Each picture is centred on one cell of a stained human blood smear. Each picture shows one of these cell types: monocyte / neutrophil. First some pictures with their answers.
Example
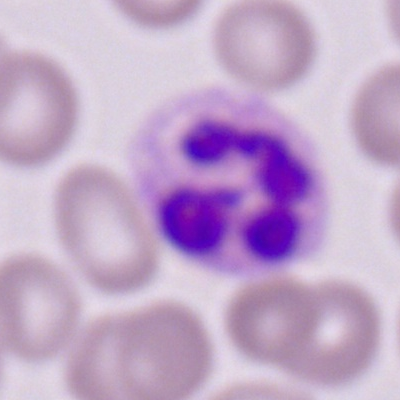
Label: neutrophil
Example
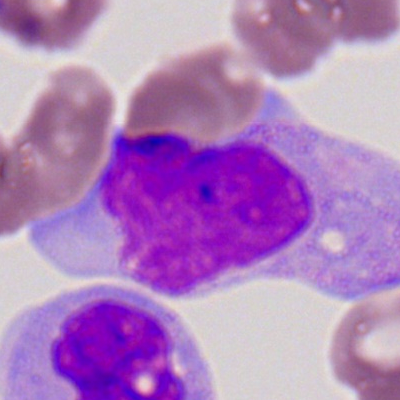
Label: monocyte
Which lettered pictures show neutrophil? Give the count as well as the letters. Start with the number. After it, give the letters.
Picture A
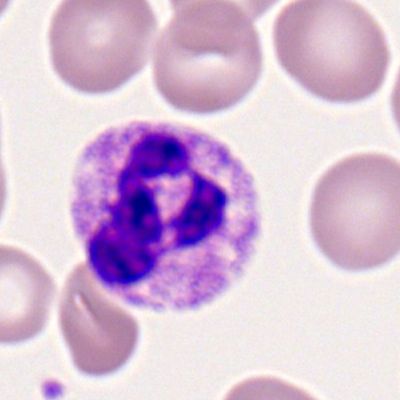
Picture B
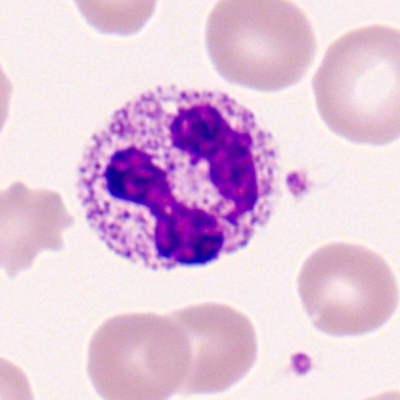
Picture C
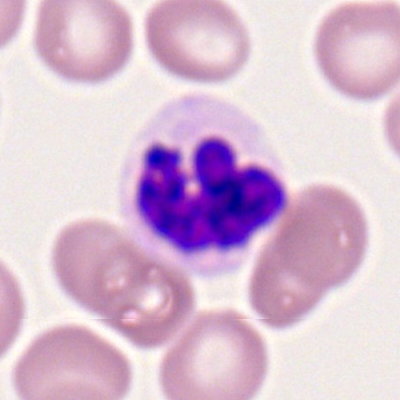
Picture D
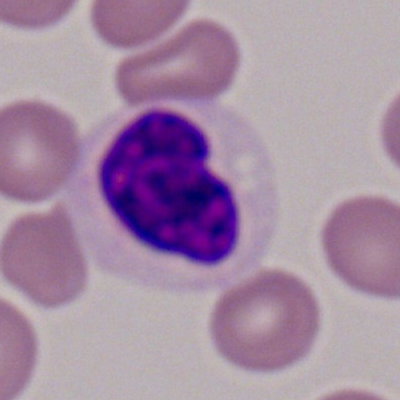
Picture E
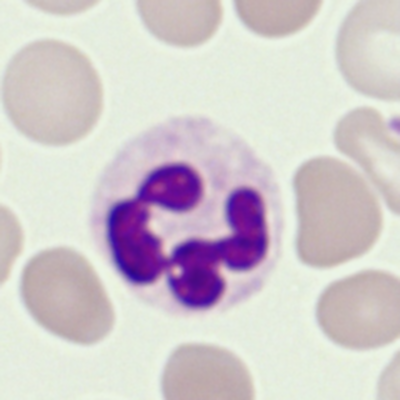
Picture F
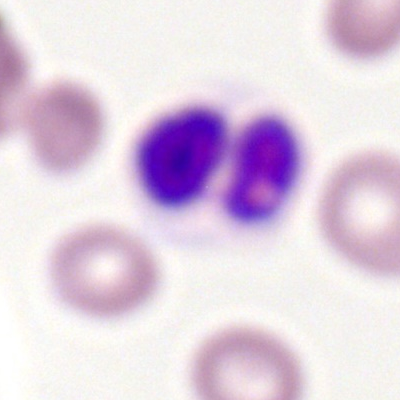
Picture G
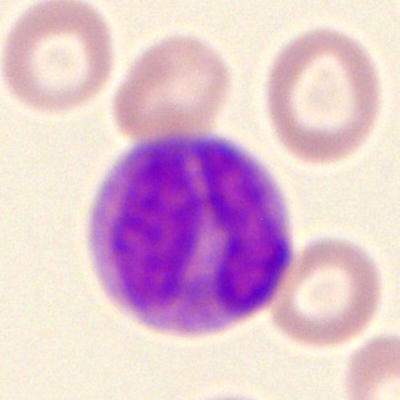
6: A, B, C, D, E, F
